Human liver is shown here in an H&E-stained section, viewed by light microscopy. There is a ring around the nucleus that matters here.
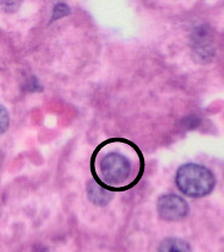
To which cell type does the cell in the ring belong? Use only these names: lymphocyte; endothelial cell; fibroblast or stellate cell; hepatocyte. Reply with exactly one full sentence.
In terms of identity, the cell in the ring is a hepatocyte.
